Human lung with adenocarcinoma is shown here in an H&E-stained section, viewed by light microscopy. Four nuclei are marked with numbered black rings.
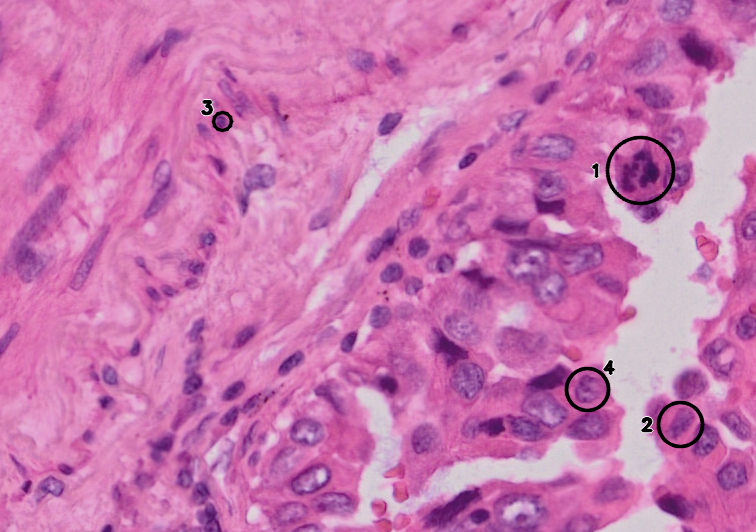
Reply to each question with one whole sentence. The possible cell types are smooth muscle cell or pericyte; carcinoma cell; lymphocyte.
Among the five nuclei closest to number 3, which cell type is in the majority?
Smooth muscle cells or pericytes make up most of the five nuclei closest to number 3.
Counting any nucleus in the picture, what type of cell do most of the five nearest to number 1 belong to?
Of the five nuclei nearest to number 1, most belong to carcinoma cells.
